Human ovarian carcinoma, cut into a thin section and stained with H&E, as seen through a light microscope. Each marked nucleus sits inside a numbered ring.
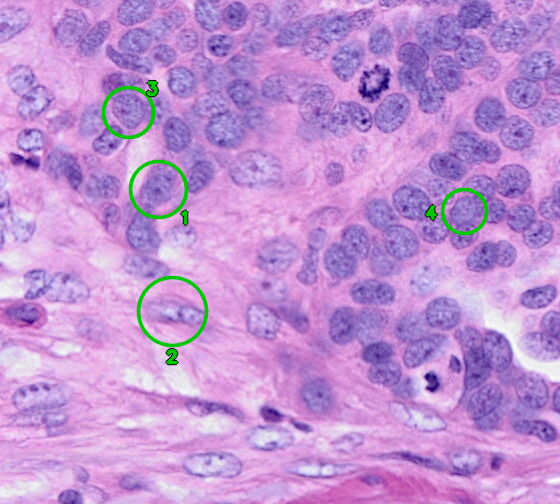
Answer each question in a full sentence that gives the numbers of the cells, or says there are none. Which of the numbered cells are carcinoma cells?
In this section, the cells numbered 1, 3 and 4 are carcinoma cells.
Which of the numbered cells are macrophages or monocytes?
Among the cells with numbered nuclei there are no macrophages or monocytes.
